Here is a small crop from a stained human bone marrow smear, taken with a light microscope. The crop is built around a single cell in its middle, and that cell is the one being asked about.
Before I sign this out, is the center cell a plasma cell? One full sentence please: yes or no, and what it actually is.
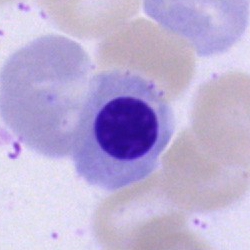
No, the identification should read an erythroblast, not a plasma cell, for the central cell.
